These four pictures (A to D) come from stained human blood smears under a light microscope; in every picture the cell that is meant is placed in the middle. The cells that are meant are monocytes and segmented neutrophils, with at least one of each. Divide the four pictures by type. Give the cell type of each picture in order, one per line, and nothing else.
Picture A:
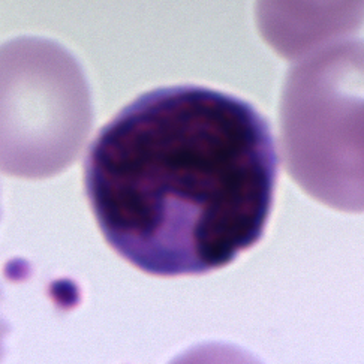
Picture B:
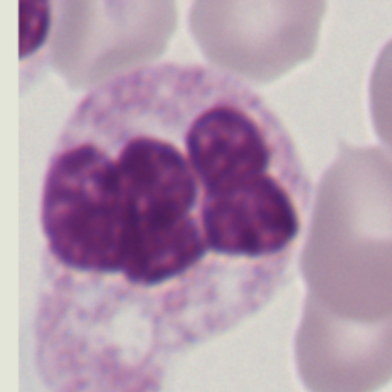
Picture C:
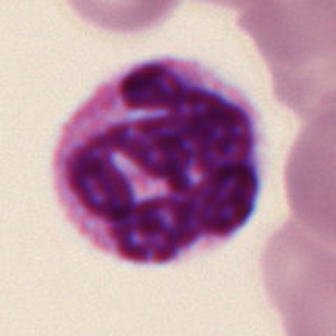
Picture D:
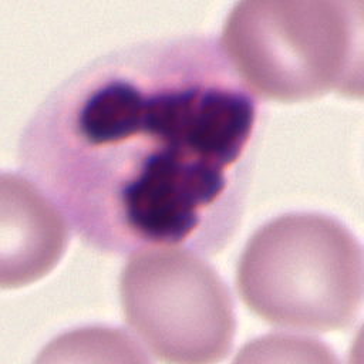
monocyte
segmented neutrophil
segmented neutrophil
segmented neutrophil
